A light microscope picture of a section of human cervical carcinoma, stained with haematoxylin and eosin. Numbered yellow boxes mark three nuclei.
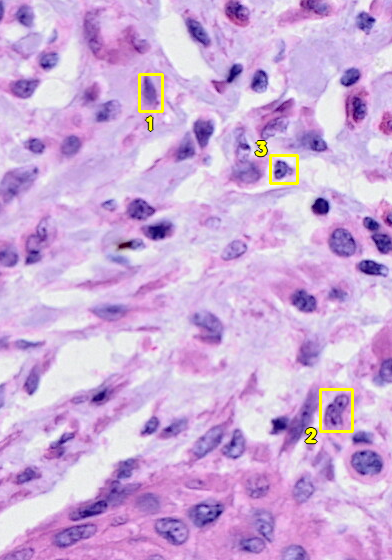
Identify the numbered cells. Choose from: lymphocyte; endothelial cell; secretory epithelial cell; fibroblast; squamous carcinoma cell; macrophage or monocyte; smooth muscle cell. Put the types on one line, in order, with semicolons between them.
fibroblast; macrophage or monocyte; lymphocyte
